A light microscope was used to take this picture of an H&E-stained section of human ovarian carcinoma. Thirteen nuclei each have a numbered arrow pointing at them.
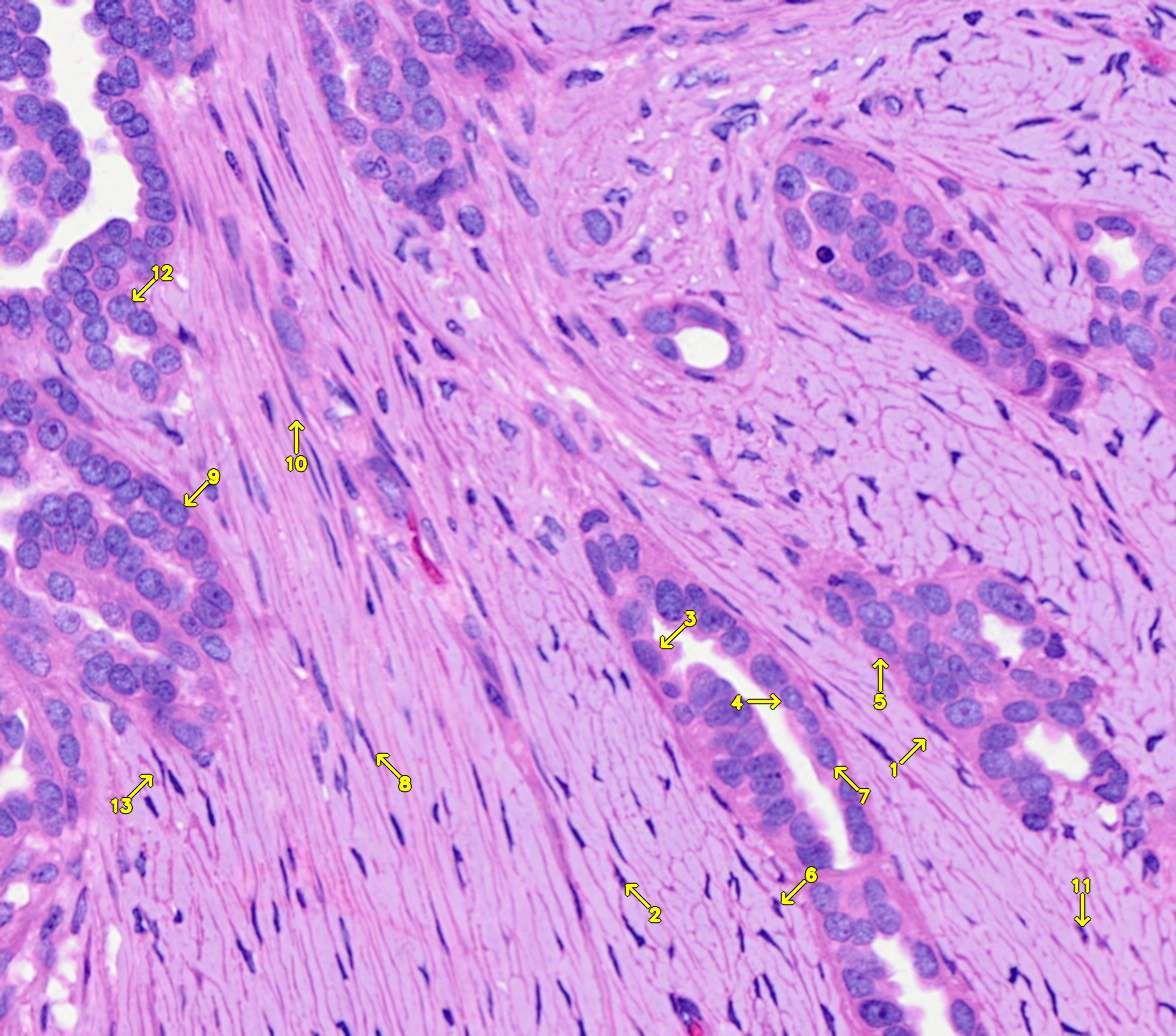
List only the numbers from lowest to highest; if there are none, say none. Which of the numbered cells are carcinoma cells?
3, 4, 5, 7, 9, 12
